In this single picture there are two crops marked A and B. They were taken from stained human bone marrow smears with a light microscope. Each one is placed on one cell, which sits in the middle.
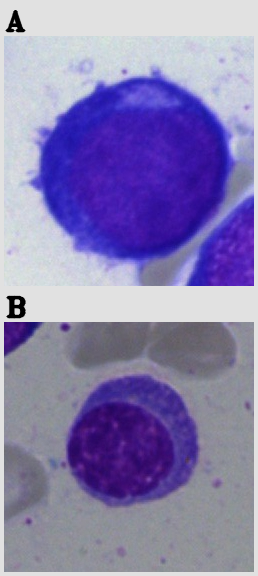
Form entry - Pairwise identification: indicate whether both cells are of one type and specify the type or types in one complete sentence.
No, a proerythroblast is centred in crop A, and a plasma cell is centred in crop B.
